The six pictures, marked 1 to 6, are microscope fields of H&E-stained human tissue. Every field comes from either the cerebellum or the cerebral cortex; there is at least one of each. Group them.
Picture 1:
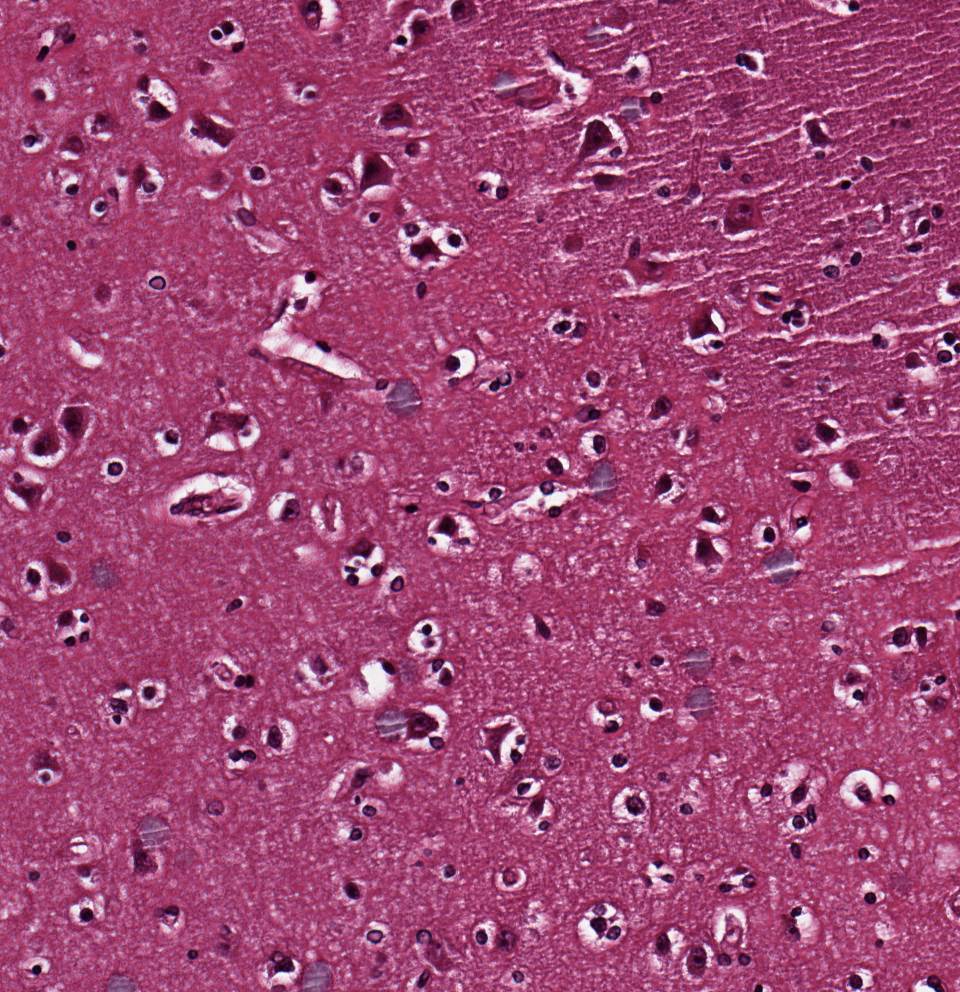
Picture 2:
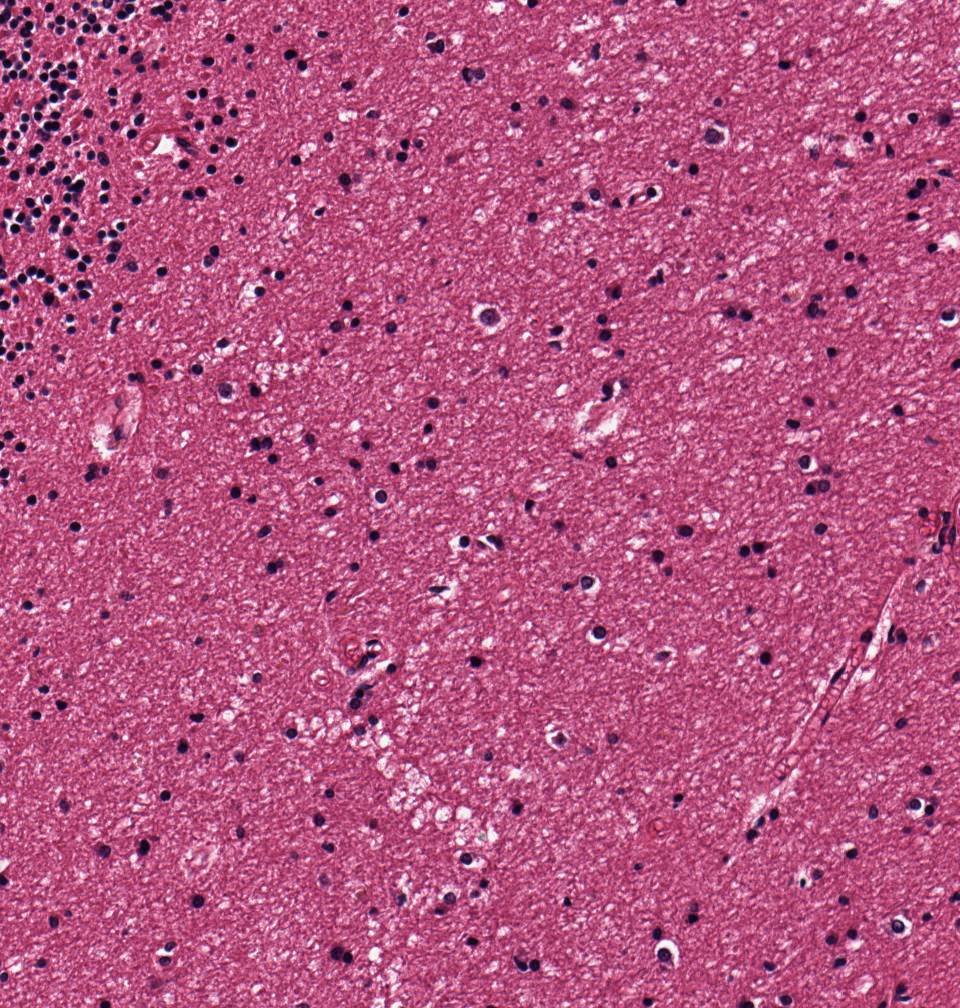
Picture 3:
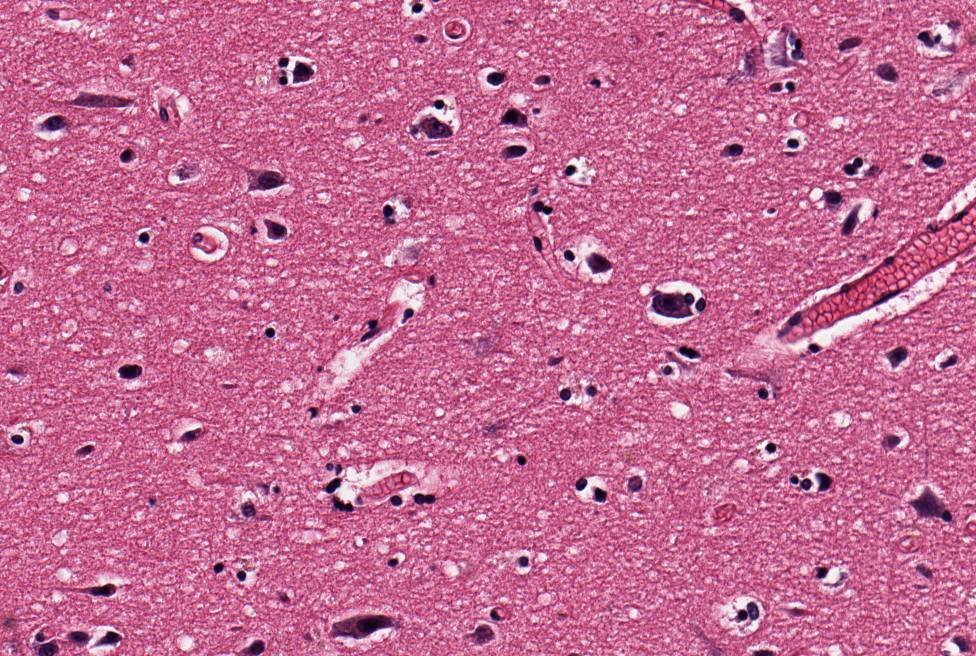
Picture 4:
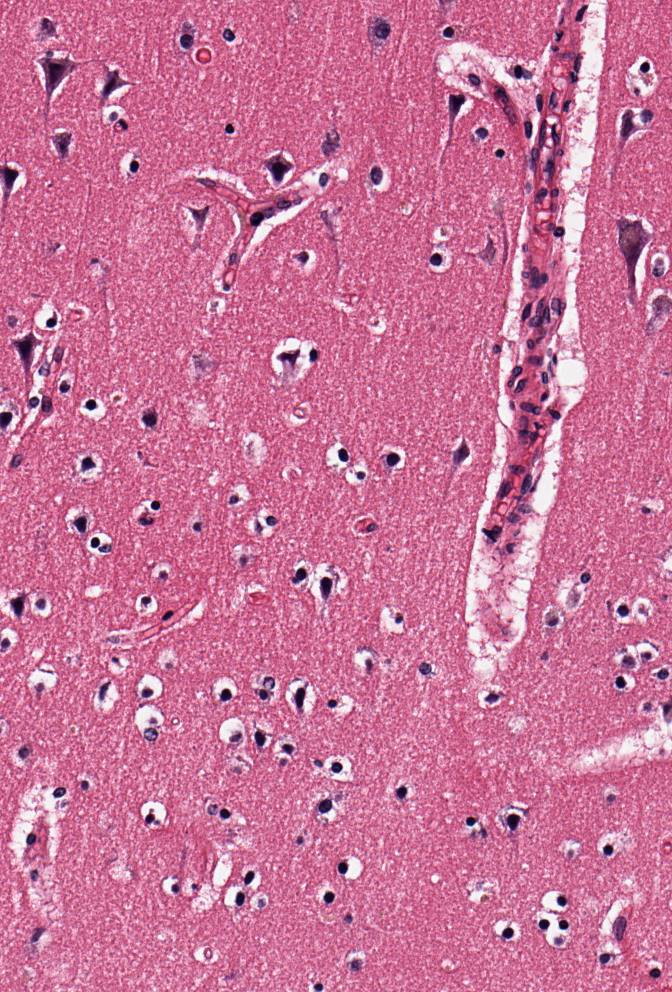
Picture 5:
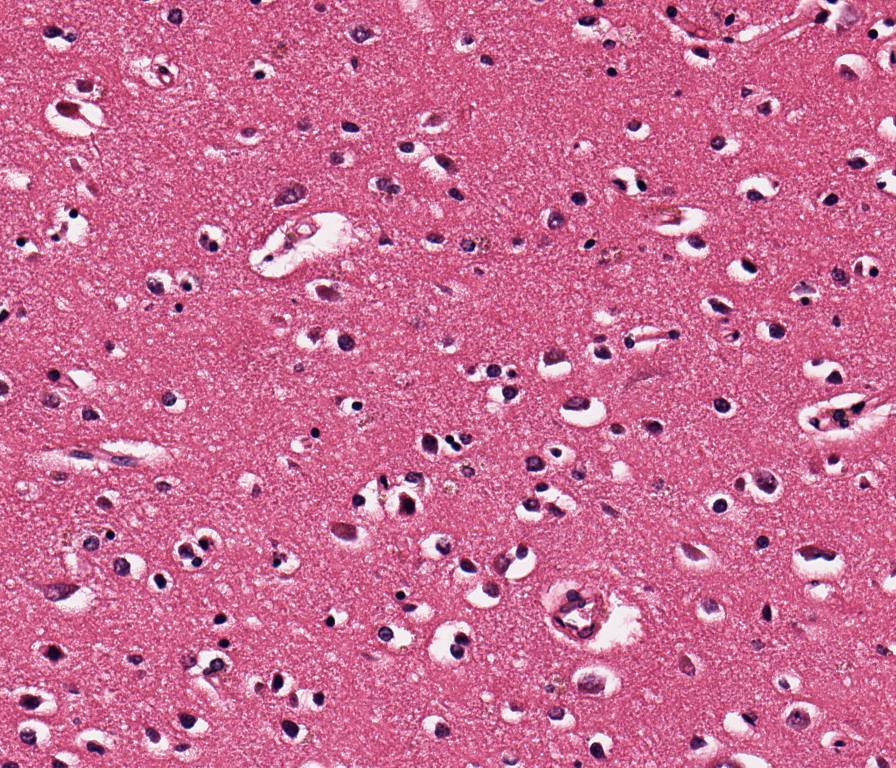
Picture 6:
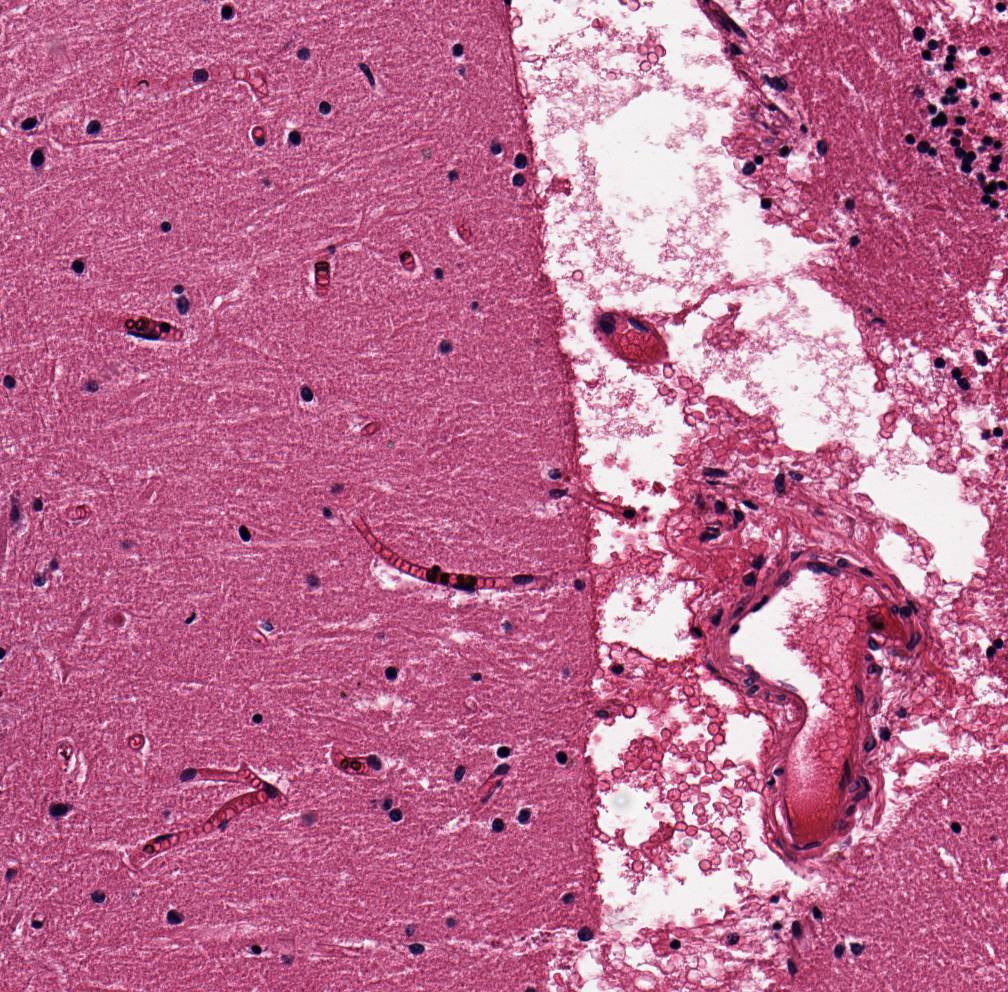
1: cerebral cortex
2: cerebellum
3: cerebral cortex
4: cerebral cortex
5: cerebral cortex
6: cerebellum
